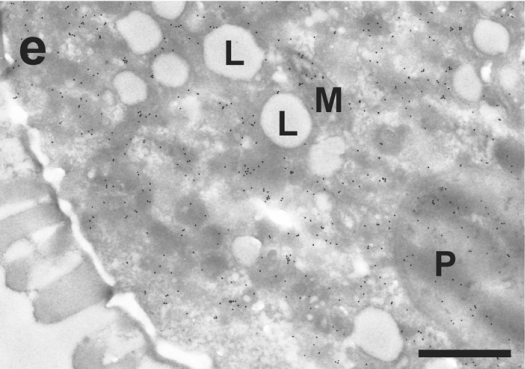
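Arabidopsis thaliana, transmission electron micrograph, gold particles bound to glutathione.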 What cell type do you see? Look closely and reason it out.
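A thick, layered, sculptured wall runs along the lower left edge. The cytoplasm is packed with many round, pale lipid bodies. A large oval plastid lies at lower right.
Hence: pollen grains.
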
